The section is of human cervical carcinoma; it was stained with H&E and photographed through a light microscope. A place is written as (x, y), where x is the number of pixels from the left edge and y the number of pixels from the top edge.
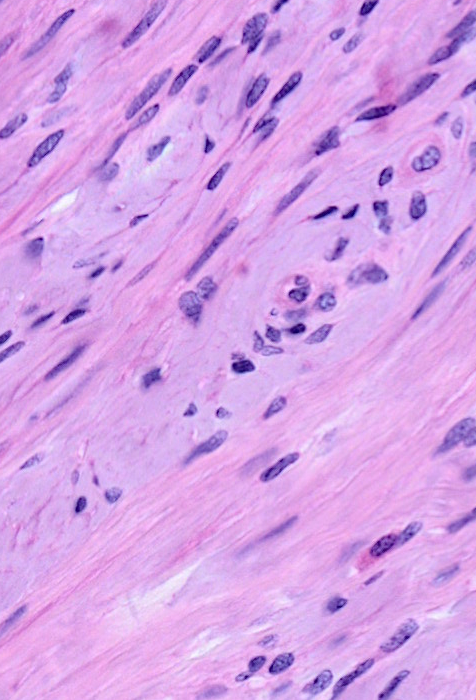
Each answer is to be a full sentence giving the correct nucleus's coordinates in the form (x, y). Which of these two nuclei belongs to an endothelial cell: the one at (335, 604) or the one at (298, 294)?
The one nucleus of the two that belongs to an endothelial cell is at (298, 294).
